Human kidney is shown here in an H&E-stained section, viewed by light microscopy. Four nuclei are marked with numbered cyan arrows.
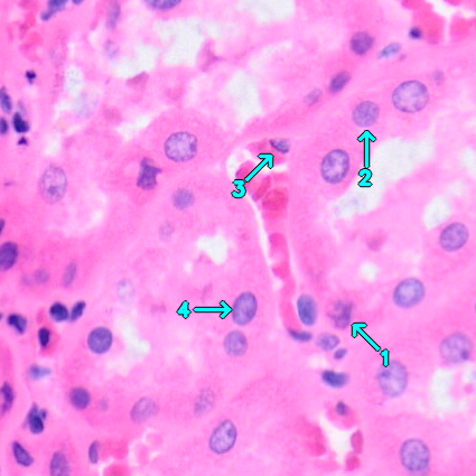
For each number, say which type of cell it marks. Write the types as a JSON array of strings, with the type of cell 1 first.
["proximal tubule cell", "proximal tubule cell", "endothelial cell", "proximal tubule cell"]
